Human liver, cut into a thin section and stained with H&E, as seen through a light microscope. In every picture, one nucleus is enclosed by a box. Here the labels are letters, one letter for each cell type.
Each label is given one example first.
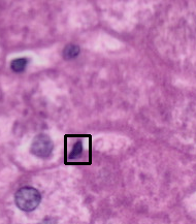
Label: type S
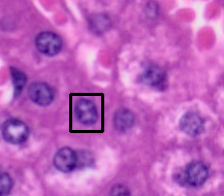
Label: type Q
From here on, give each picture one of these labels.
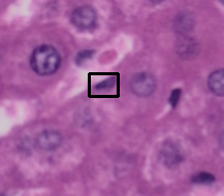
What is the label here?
type S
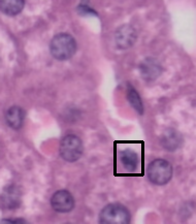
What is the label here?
type S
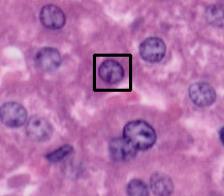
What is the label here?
type Q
